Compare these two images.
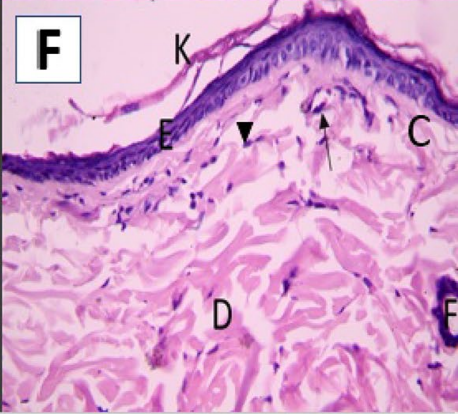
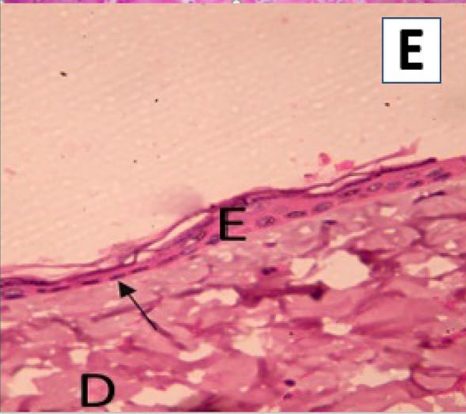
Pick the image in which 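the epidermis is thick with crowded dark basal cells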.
the first image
